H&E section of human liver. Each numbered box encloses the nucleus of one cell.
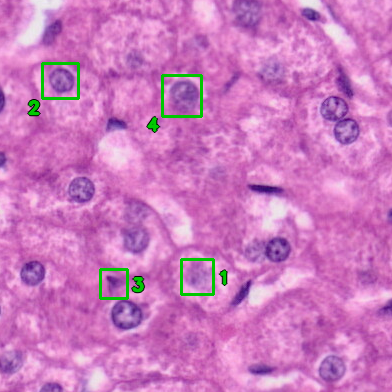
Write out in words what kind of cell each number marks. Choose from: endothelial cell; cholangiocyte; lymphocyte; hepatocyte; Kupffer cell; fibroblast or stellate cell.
Cells 1, 2 and 4 are hepatocytes. Cell 3 is an endothelial cell.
